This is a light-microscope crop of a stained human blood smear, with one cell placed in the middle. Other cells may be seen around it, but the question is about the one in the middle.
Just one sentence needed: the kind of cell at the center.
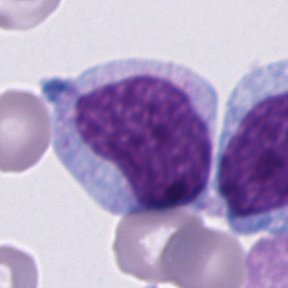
The cell shown in the center of this light-microscope crop is a promyelocyte.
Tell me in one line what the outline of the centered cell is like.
Because its outline is ragged or drawn out into projections, the cell lacks a smooth border.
